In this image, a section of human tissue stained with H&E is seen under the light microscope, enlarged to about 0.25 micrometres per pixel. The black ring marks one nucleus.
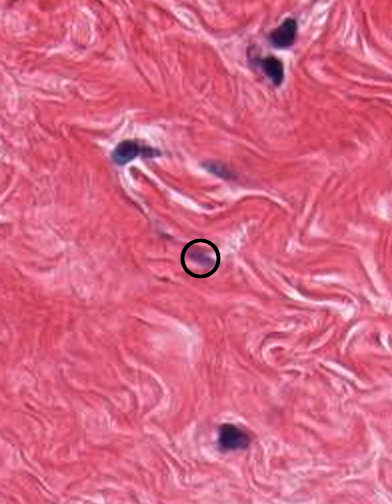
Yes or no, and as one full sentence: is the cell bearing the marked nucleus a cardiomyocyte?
No, rather than to a cardiomyocyte, the marked nucleus belongs to a supporting cell.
